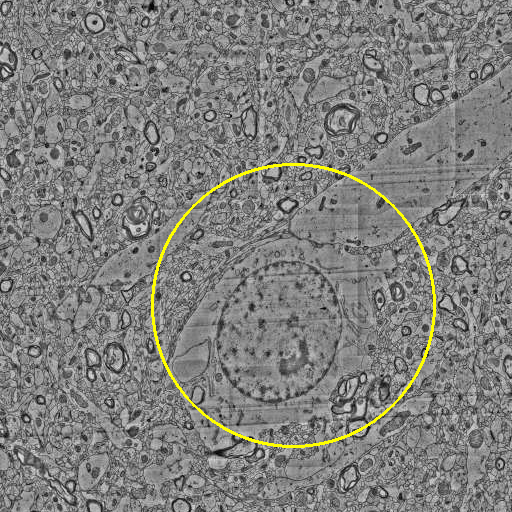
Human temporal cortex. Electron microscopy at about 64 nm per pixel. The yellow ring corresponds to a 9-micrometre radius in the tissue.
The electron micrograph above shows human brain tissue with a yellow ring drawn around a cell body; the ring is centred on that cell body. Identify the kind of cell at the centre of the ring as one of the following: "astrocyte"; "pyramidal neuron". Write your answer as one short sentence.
The cell at the centre of the ring is an astrocyte.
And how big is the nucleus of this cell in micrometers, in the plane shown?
The nucleus comes to roughly 9 by 8 micrometres in this plane.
